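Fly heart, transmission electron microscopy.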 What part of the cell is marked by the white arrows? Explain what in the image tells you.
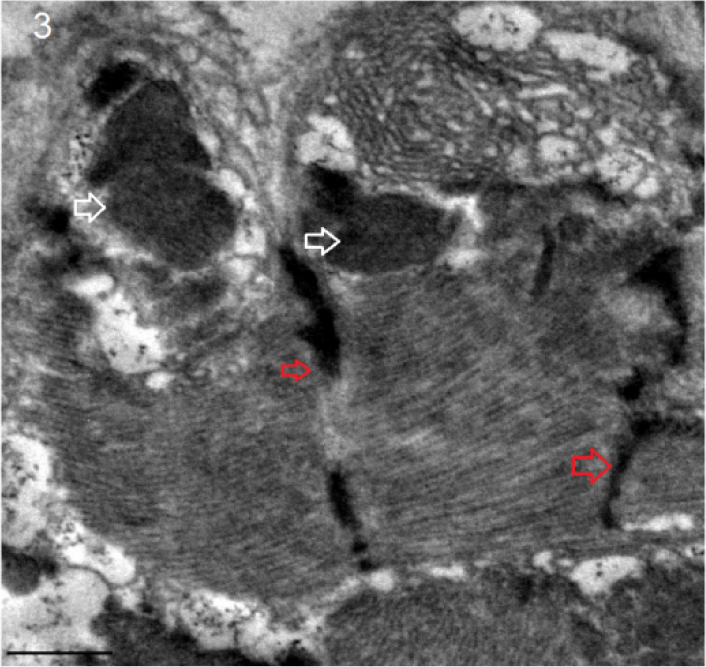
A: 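Dark, oval membrane-bound bodies lie beside the myofibrils. They are dense and packed with internal membranes.
Mitochondria.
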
